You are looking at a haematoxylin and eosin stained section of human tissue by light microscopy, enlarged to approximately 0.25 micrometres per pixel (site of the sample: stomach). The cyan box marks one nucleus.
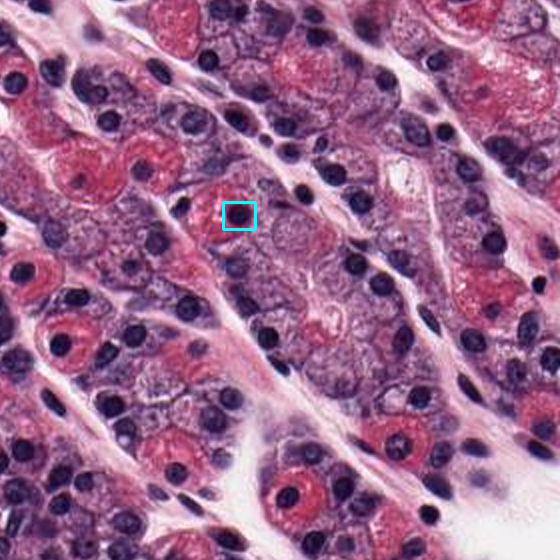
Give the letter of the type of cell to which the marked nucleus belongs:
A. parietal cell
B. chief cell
A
